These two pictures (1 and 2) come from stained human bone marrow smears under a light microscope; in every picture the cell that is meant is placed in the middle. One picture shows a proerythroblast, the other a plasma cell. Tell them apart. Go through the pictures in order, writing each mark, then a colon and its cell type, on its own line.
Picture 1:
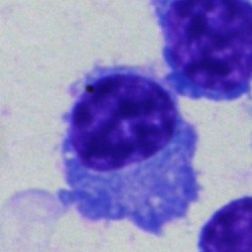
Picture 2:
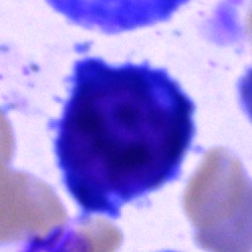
1: plasma cell
2: proerythroblast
